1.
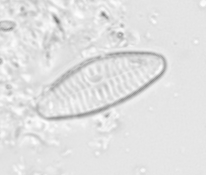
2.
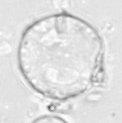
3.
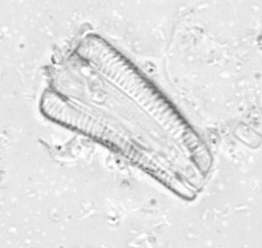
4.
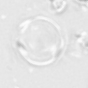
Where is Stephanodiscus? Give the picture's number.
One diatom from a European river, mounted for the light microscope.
2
